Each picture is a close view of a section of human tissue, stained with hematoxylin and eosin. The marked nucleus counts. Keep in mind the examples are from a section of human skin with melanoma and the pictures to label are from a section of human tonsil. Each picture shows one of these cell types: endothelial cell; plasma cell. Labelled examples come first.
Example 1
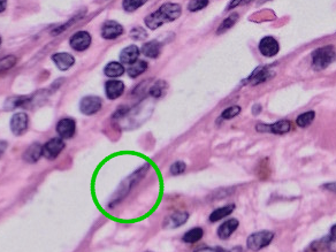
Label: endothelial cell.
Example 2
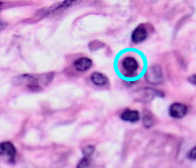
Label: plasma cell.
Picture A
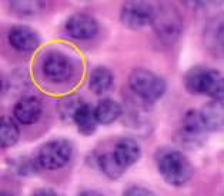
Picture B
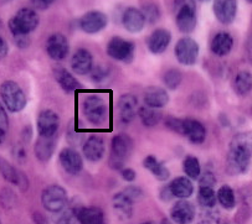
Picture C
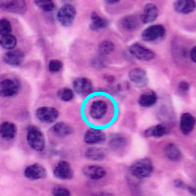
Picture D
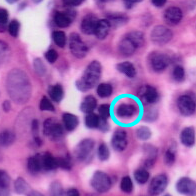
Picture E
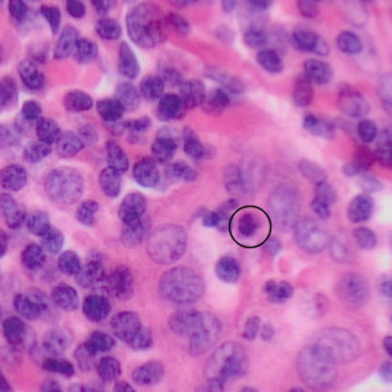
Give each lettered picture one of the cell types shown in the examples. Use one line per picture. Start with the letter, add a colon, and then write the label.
A: plasma cell.
B: plasma cell.
C: plasma cell.
D: plasma cell.
E: endothelial cell.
